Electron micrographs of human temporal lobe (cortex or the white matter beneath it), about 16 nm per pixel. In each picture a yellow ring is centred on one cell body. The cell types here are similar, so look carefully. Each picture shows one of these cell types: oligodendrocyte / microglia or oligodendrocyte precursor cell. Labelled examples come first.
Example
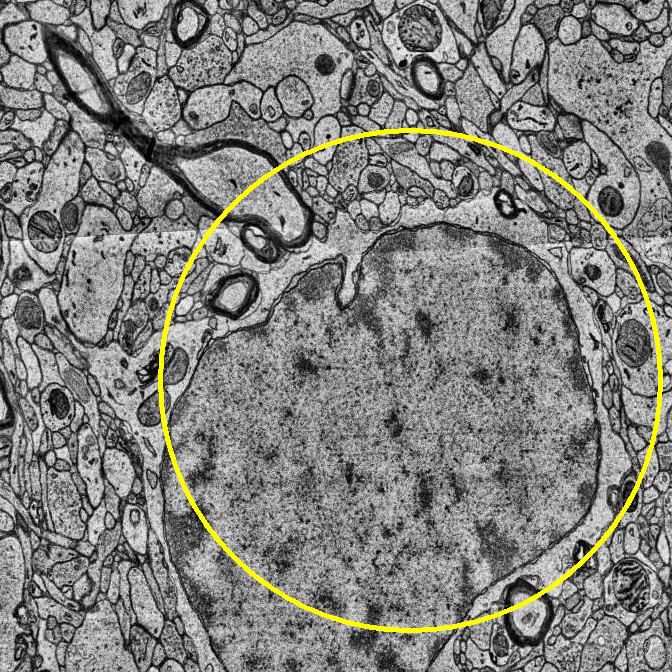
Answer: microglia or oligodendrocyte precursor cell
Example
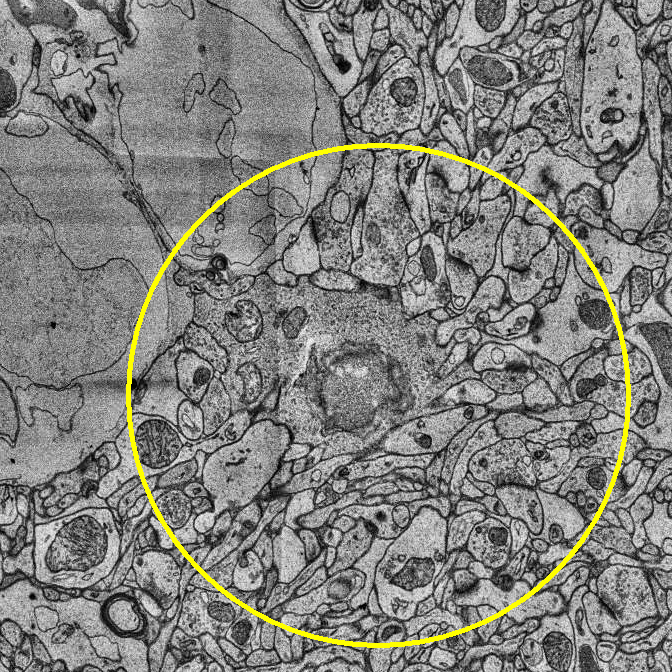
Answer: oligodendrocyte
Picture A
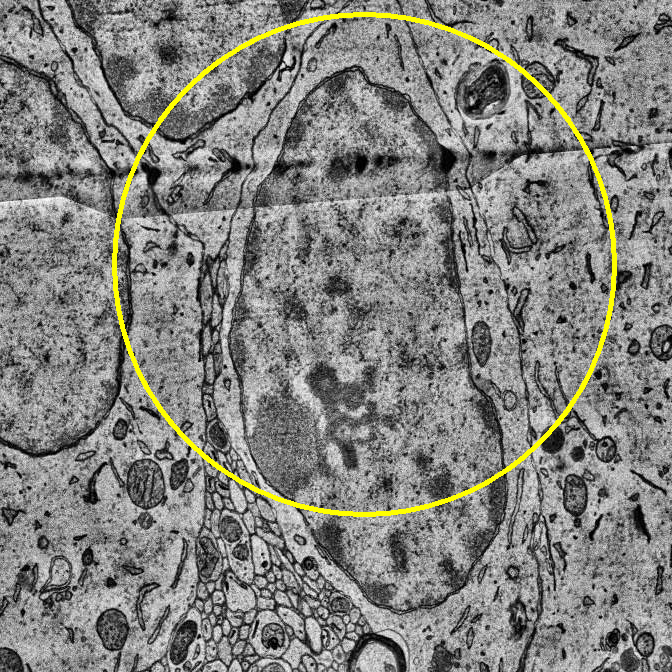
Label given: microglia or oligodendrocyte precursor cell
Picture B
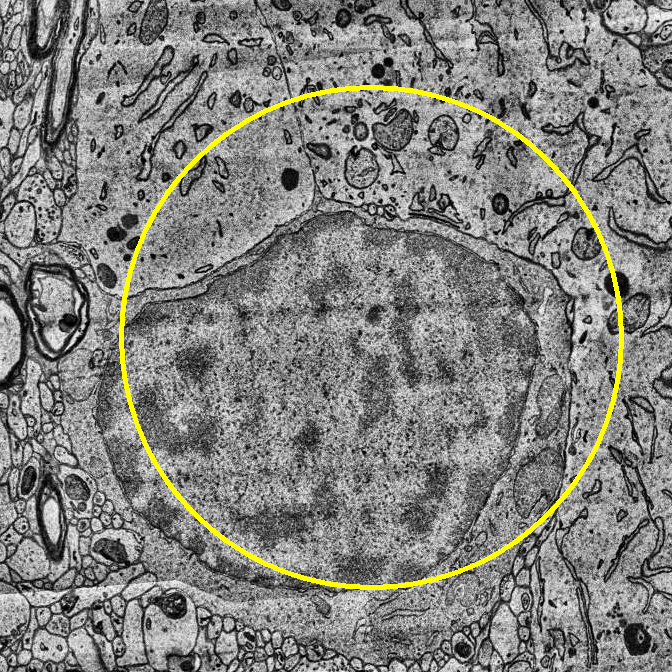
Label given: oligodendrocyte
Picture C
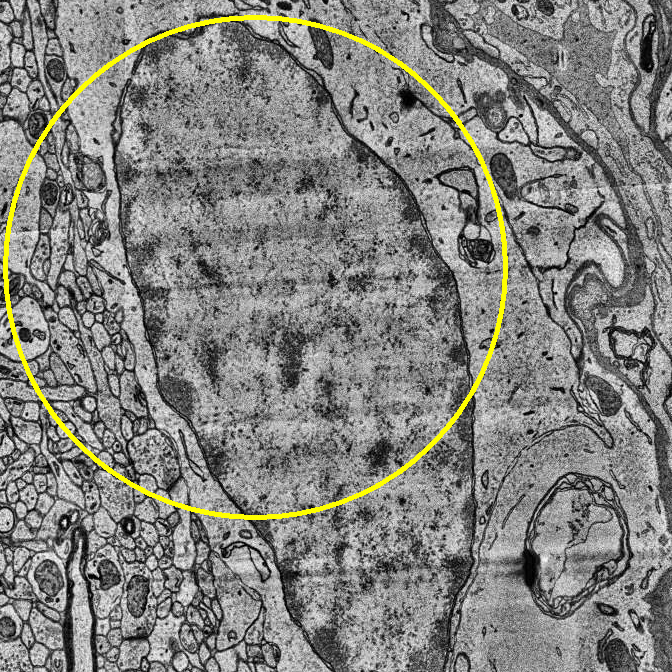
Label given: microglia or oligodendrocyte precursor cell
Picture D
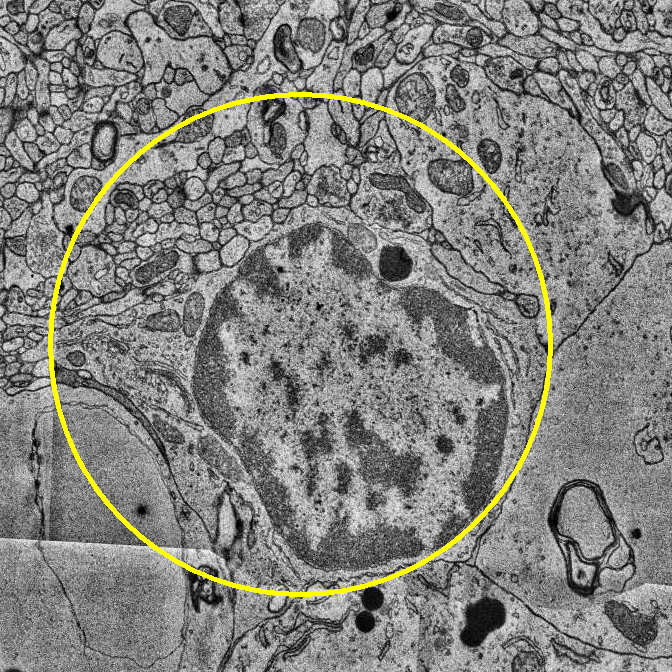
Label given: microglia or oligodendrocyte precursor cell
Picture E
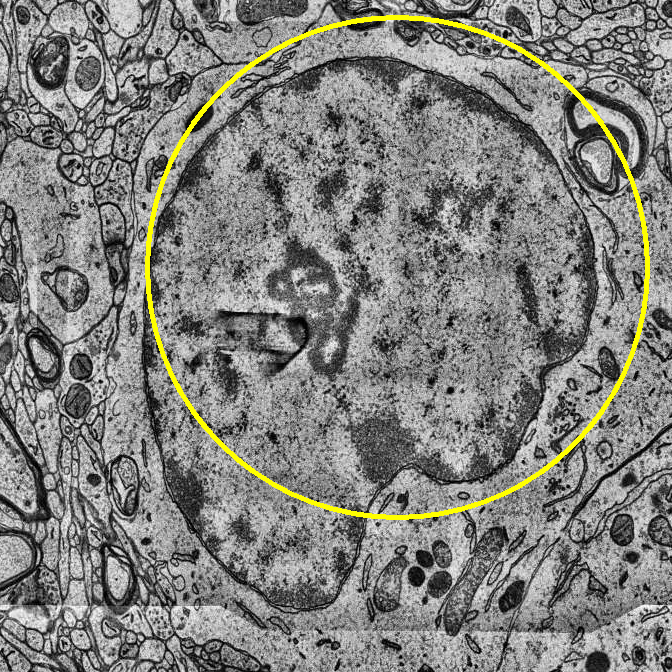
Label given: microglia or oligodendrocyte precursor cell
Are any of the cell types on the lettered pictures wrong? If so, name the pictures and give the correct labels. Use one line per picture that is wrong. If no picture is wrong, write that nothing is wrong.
All correct.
